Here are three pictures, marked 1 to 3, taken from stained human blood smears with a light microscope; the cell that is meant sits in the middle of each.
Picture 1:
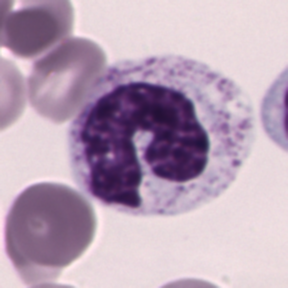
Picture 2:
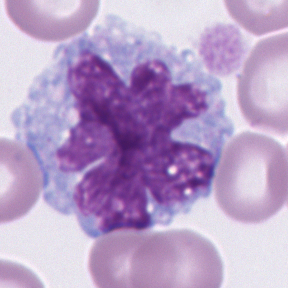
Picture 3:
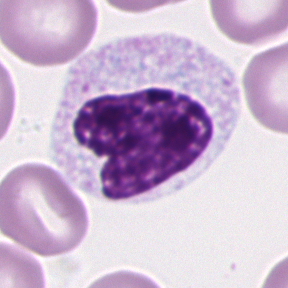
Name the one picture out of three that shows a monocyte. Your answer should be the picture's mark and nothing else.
2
